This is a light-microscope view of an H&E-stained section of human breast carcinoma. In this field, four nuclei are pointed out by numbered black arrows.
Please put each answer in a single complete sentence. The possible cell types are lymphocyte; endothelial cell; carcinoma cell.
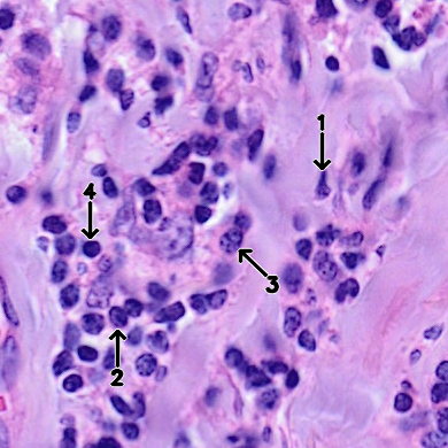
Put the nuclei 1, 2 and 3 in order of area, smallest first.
The order from the smallest nucleus to the largest is 1, 2, 3.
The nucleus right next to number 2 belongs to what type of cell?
Closest to number 2 lies the nucleus of a lymphocyte.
